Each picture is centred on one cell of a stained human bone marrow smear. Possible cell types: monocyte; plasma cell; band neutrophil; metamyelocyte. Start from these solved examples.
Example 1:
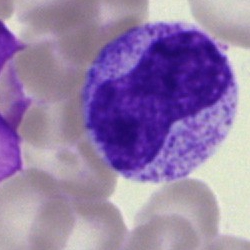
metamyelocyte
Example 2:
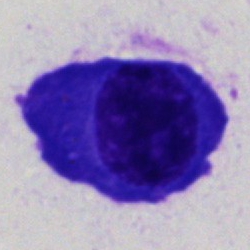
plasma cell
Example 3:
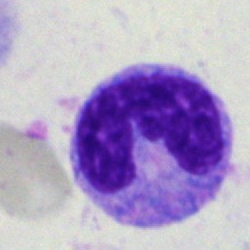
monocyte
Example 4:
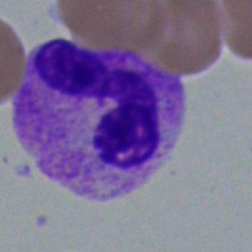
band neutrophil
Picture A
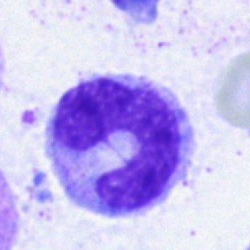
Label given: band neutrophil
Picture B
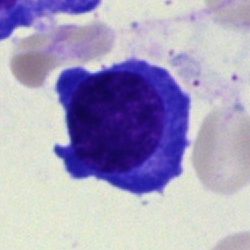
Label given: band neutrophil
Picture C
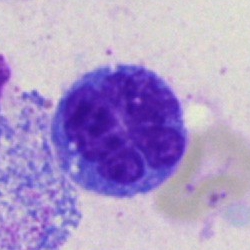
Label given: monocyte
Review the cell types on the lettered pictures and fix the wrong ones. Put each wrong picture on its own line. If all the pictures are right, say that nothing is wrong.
B should be plasma cell, not band neutrophil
